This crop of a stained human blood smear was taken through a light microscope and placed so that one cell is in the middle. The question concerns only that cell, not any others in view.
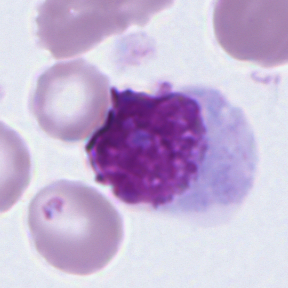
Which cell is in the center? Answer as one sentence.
The center cell of this crop is a plasma cell.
